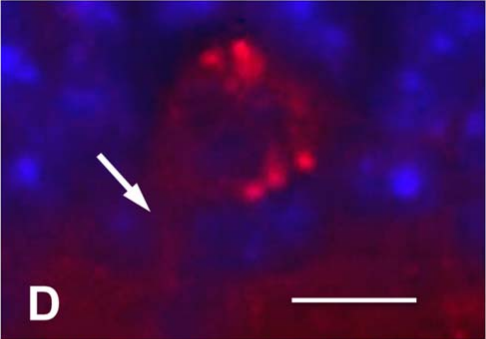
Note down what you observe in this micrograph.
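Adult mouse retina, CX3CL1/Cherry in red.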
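High magnification of a single neuron cell body in the inner nuclear layer, presumably an amacrine cell, labelled in red among blue nuclei of neighbouring cells. The red label outlines a round soma with bright puncta clustered around a darker central nucleus. At its lower-left edge the red faintly extends where a dendrite arises.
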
